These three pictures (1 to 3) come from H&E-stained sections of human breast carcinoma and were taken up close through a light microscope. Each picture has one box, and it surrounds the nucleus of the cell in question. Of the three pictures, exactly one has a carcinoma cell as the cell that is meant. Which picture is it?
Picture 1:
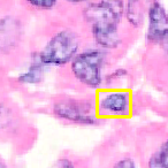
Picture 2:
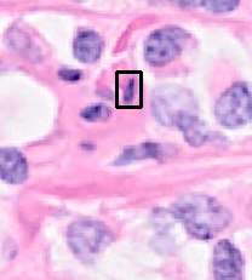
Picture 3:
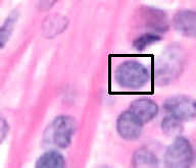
3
